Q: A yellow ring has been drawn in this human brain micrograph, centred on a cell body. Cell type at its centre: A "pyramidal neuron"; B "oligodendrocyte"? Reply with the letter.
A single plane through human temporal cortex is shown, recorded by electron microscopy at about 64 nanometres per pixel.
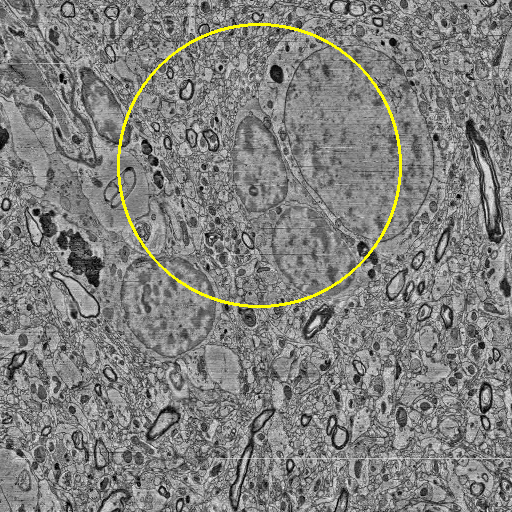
B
